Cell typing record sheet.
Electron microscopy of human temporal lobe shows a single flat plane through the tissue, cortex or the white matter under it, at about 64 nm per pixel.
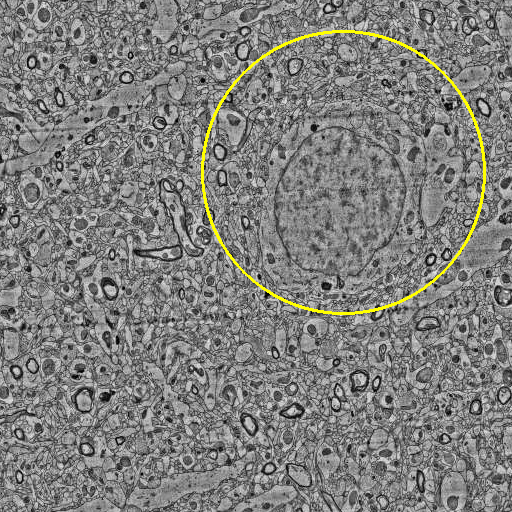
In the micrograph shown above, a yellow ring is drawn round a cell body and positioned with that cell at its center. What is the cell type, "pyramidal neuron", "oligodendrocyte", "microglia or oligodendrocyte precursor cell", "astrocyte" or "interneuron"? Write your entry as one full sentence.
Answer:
The cell body at the center of the ring belongs to an interneuron.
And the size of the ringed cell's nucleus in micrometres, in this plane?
The nucleus measures about 9 micrometers across in this plane.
